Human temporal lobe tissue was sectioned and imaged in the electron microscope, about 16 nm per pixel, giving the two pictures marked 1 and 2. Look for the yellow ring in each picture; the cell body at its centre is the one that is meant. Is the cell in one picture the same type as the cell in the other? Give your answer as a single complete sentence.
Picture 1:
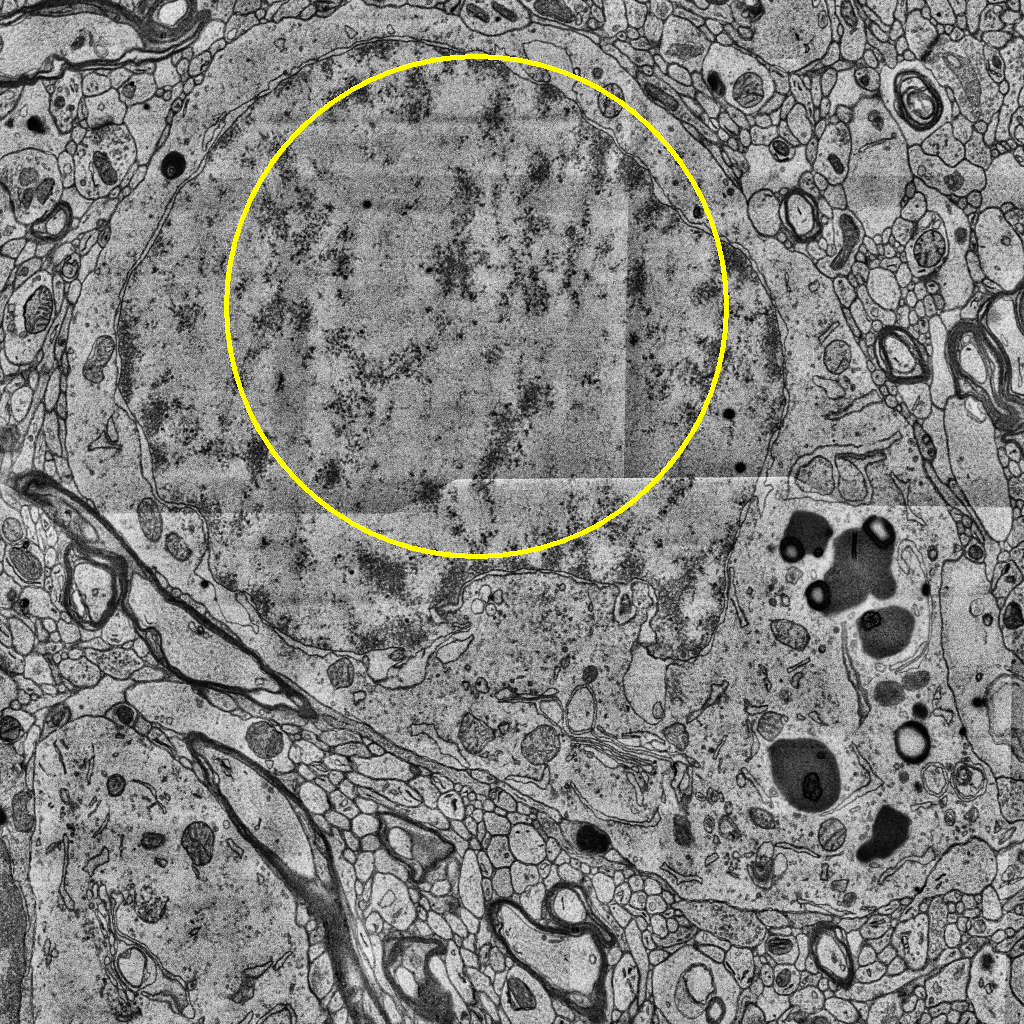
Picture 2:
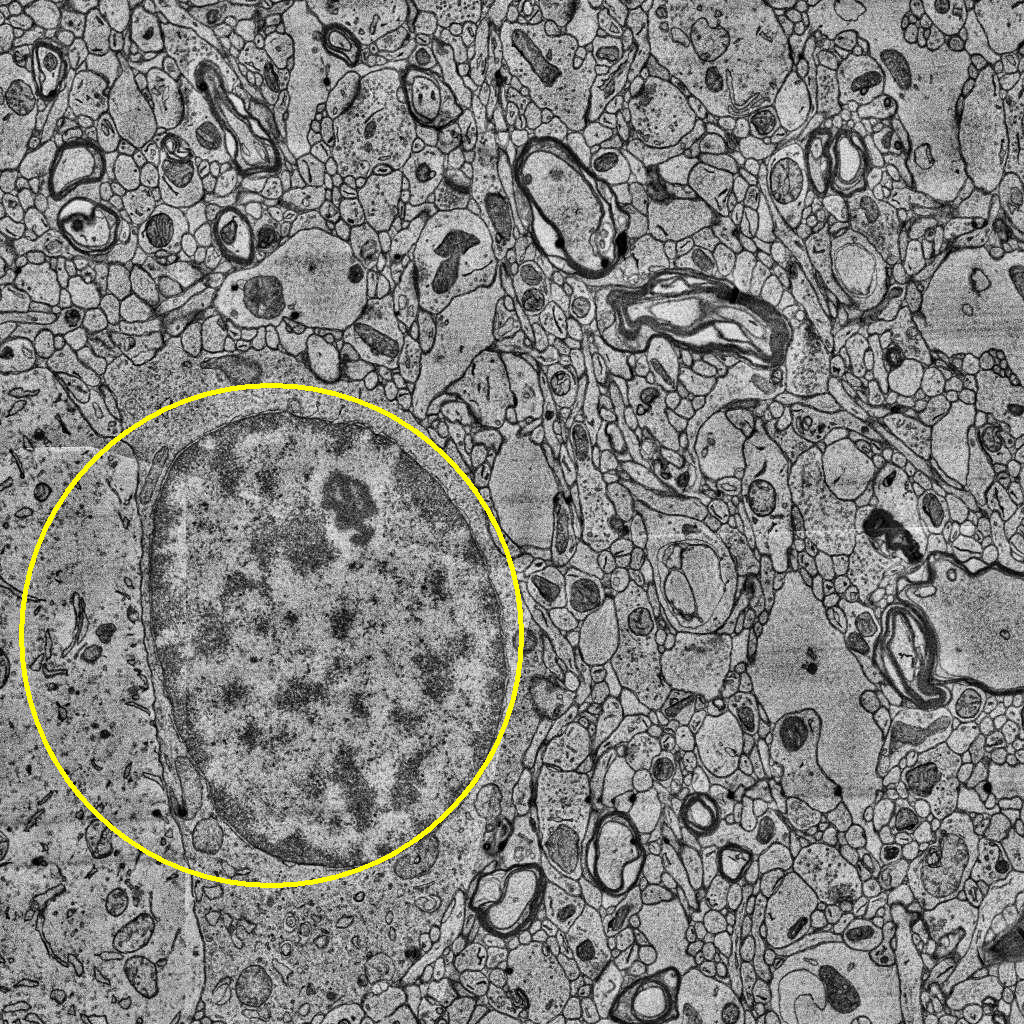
No, they differ: the cell is an interneuron in picture 1 and an oligodendrocyte in picture 2.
